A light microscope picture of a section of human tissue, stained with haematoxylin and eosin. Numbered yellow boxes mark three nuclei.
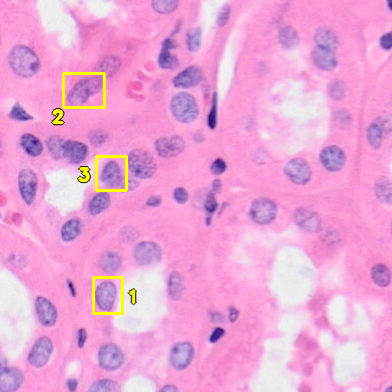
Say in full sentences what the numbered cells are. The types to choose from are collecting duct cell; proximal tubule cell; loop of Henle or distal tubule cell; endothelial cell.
Cell 1 is a loop of Henle or distal tubule cell. Cell 2 is a proximal tubule cell. Cell 3 is a collecting duct cell.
